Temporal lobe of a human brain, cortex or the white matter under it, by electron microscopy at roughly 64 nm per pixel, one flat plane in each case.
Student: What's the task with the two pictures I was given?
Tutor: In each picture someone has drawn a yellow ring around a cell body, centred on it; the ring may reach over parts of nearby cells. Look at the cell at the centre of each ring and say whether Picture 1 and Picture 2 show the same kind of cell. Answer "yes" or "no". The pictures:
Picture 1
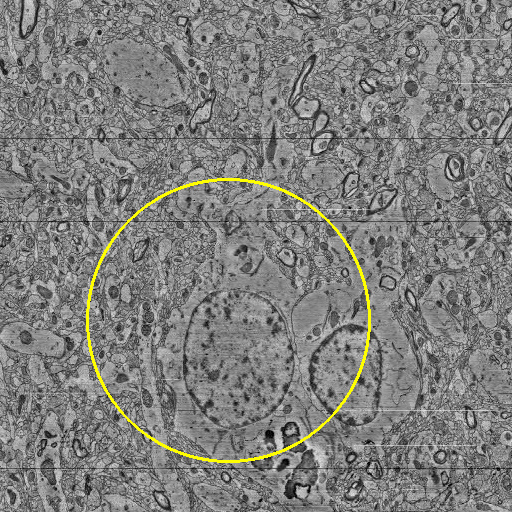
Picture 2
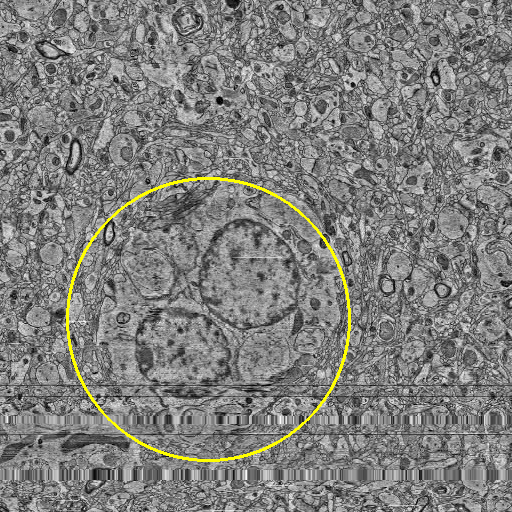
yes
